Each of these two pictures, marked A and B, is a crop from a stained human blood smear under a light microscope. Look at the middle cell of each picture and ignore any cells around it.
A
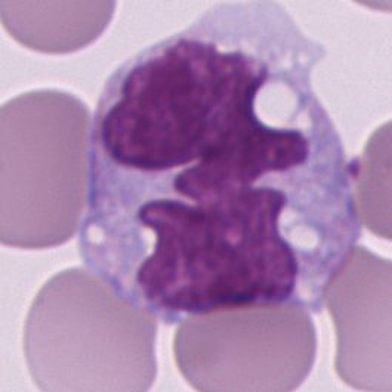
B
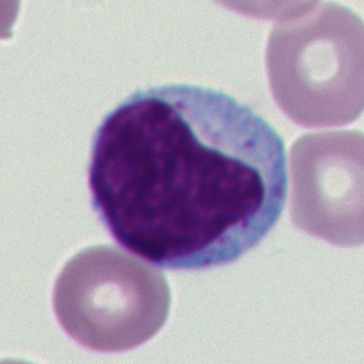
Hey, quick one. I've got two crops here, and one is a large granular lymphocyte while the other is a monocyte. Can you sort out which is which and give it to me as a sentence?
In short, crop A is a monocyte and crop B is a large granular lymphocyte.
